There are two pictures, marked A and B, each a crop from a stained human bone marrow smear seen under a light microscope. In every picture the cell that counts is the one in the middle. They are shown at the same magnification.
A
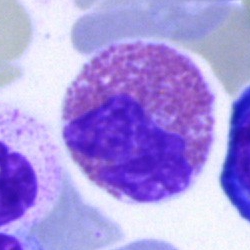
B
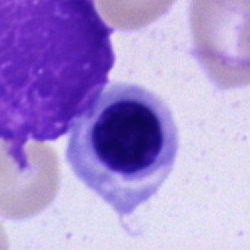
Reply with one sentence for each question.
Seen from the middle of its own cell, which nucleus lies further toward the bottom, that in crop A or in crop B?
It is the nucleus in crop A that lies further toward the bottom of its cell.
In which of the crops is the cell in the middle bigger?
It is the cell in crop A, about 2 times as large in area as the cell in crop B.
